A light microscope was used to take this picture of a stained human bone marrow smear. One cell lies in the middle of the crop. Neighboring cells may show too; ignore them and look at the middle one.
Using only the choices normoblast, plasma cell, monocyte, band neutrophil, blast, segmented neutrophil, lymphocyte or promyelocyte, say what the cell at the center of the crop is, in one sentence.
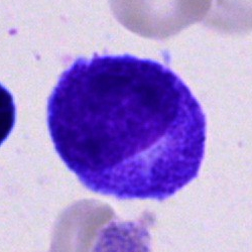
The central cell, amid any neighbouring cells, is a promyelocyte.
